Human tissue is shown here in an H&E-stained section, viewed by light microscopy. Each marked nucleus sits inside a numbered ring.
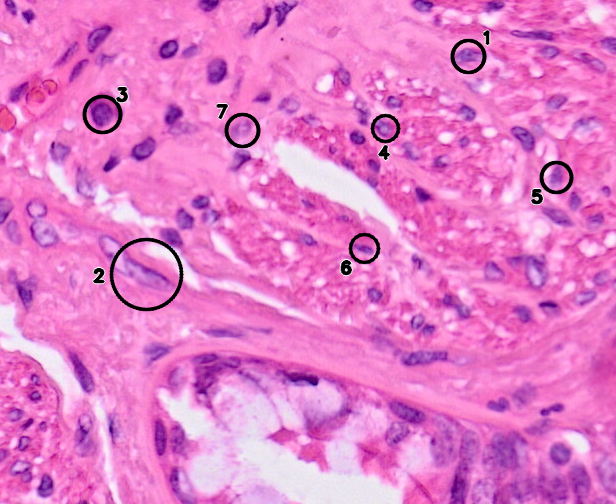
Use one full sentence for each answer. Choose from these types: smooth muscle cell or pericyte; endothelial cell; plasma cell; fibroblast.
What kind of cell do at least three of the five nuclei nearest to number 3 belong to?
Most of the five nuclei nearest to number 3 are those of fibroblasts.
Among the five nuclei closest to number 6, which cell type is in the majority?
Around number 6, most of the five nearest nuclei are those of smooth muscle cells or pericytes.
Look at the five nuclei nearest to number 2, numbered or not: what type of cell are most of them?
Fibroblasts make up most of the five nuclei closest to number 2.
